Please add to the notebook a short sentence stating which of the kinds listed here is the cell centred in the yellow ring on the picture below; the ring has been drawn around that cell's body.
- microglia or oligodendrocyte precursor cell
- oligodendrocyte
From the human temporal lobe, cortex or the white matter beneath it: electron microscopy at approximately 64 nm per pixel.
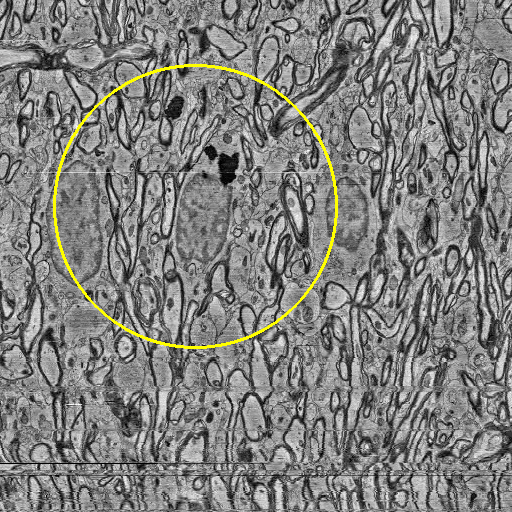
The cell centred in the yellow ring is an oligodendrocyte.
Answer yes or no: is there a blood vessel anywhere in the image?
No, there is no blood vessel.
